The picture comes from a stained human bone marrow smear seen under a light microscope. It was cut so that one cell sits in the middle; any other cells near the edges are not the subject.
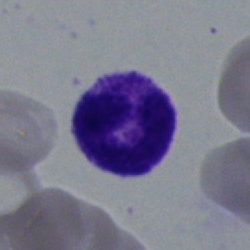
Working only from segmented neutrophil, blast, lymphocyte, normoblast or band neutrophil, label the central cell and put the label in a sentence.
Standing at the centre of this crop is a segmented neutrophil.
